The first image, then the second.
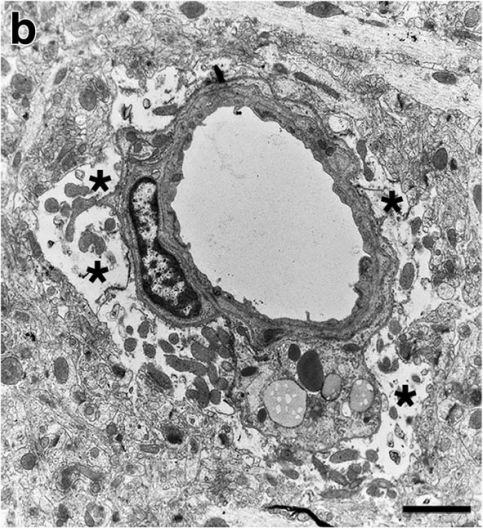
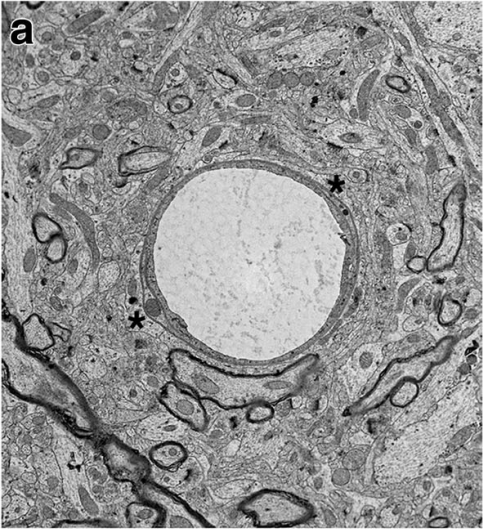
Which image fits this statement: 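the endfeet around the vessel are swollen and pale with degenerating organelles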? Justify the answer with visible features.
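First image: wide electron-lucent spaces with membrane fragments surround the vessel wall. Second image: the vessel wall is closely apposed to dense neuropil with only thin perivascular profiles. So: the first image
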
